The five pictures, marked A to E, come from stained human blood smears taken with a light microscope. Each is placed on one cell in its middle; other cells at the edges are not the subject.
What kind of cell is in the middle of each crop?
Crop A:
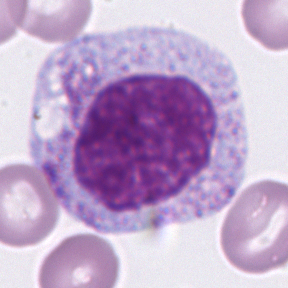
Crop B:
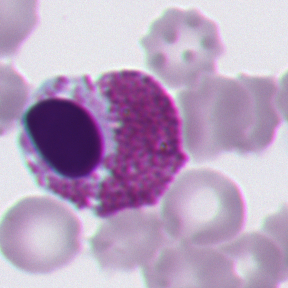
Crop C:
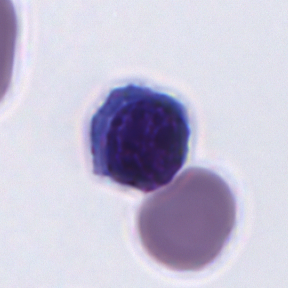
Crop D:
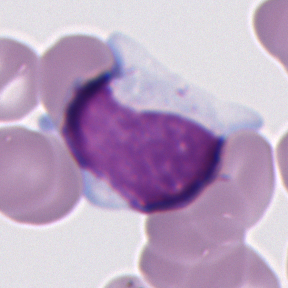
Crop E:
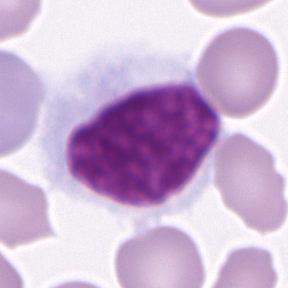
A: myelocyte
B: eosinophil
C: plasma cell
D: large granular lymphocyte
E: hairy cell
